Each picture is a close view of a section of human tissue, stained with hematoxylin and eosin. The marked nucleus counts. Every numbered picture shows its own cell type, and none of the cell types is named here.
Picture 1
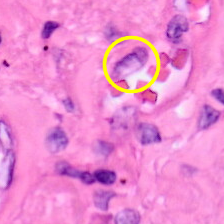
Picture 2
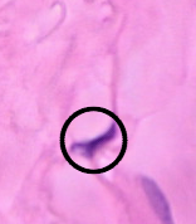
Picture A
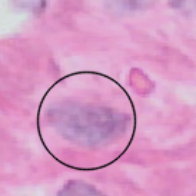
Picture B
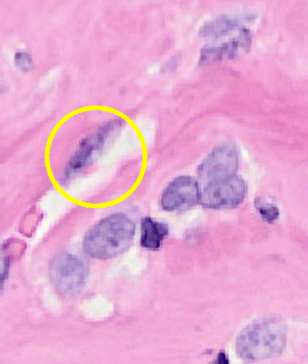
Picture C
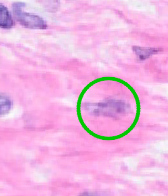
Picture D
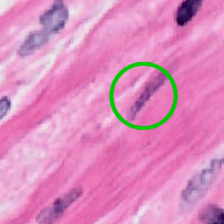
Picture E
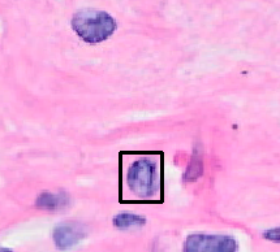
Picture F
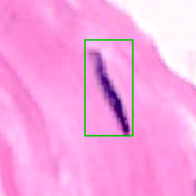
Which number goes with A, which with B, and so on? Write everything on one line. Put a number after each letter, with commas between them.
A 2, B 1, C 2, D 2, E 1, F 2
